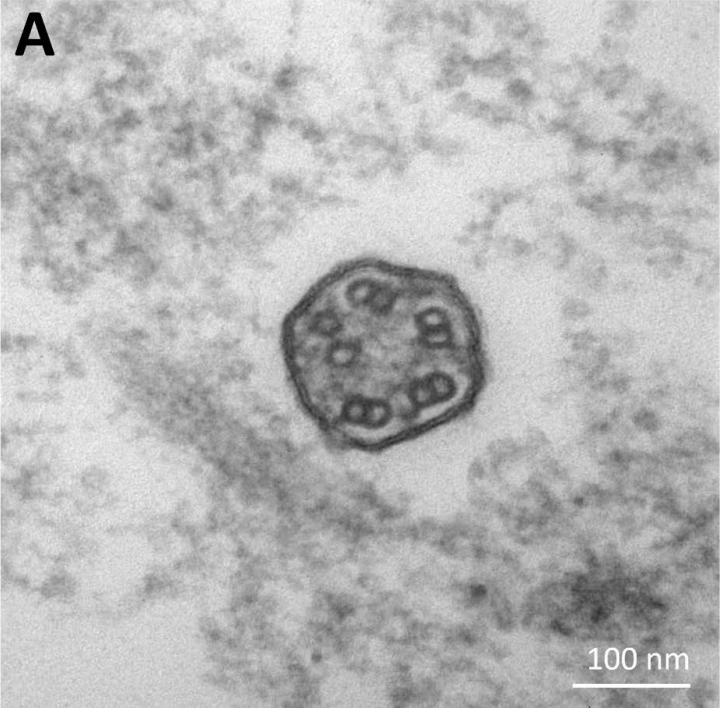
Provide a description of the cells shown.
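The profile is round to slightly polygonal, about 150 to 200 nanometres across, and bounded by a dark membrane. Just inside the membrane lie ring-shaped microtubule profiles, several of them paired as doublets, but they are unevenly spaced and fewer than the usual nine can be made out. The centre of the axoneme lacks the pair of central microtubules, leaving a mostly empty, finely granular core. The cilium sits in a paler halo surrounded by flocculent, grainy material.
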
